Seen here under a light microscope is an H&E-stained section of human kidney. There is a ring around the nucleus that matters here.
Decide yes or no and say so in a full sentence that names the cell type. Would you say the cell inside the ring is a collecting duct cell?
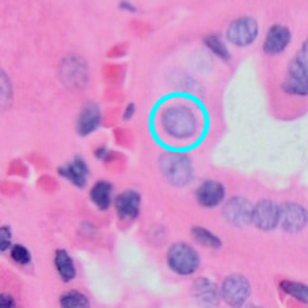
Yes, the cell inside the ring is categorized as a collecting duct cell in this section.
